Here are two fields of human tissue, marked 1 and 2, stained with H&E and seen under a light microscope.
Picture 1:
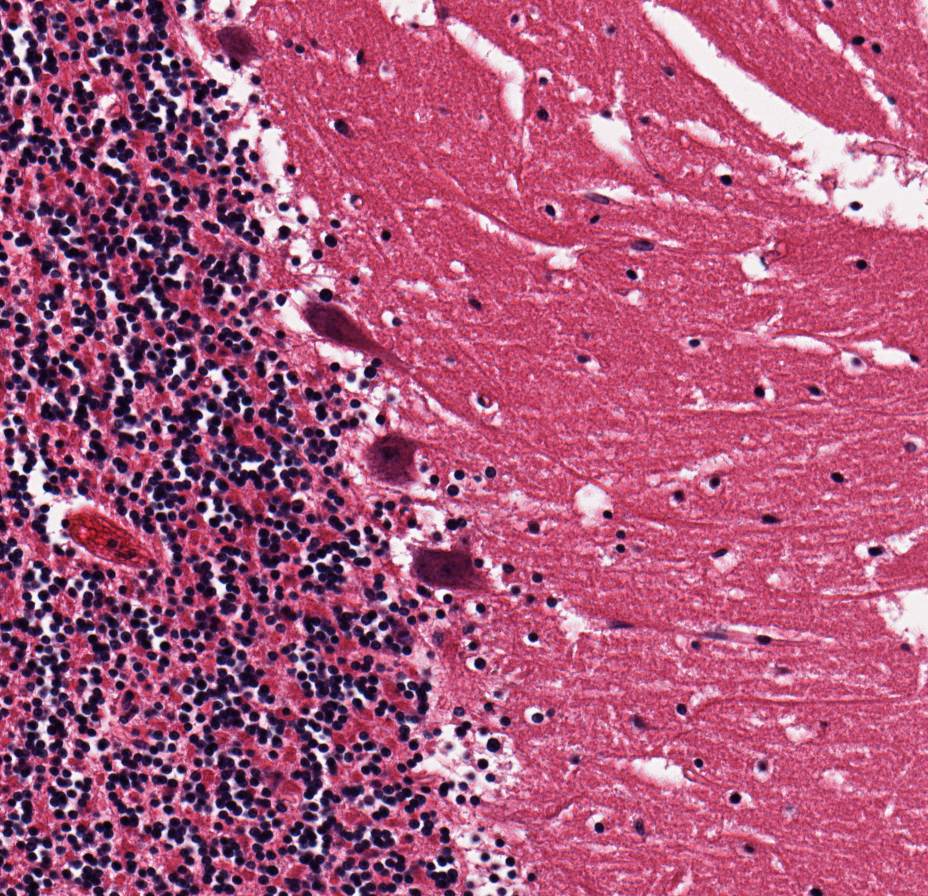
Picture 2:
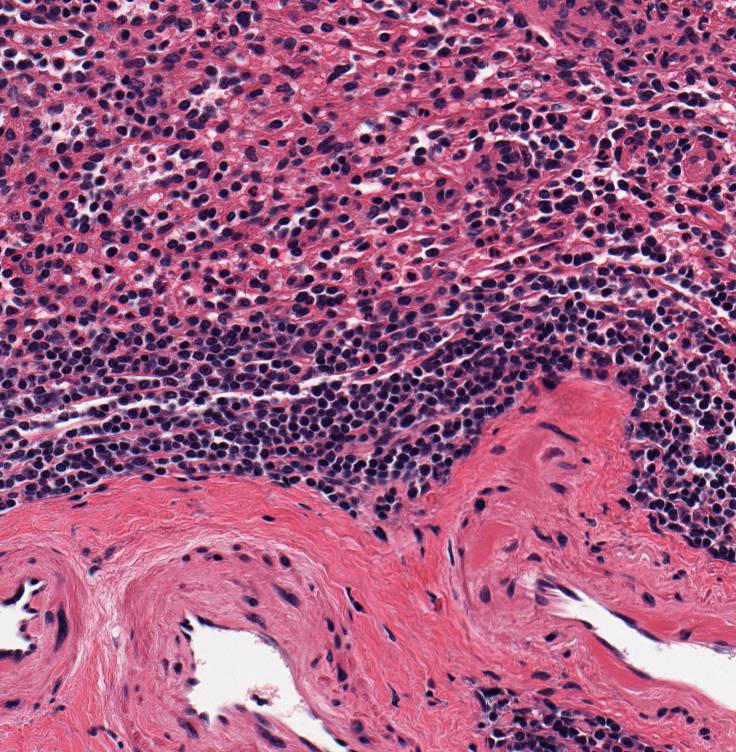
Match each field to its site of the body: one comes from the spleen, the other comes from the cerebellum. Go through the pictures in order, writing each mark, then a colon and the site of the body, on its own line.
1: cerebellum
2: spleen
